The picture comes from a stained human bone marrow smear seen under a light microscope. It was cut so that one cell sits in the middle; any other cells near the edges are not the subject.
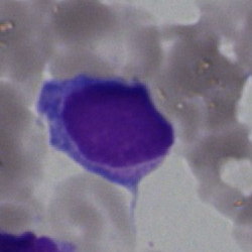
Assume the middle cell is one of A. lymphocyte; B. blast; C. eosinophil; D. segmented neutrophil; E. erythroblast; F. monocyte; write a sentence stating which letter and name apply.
Option A is right, the centrally situated cell being a lymphocyte.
